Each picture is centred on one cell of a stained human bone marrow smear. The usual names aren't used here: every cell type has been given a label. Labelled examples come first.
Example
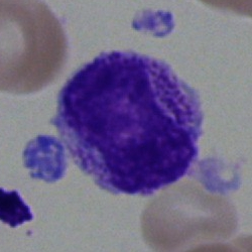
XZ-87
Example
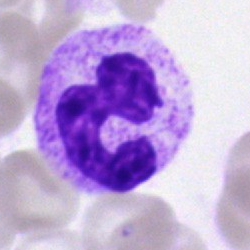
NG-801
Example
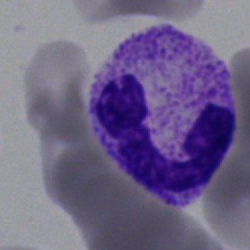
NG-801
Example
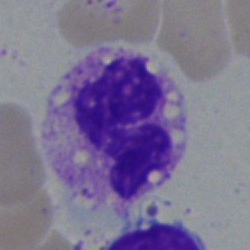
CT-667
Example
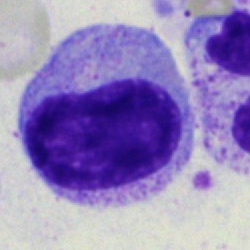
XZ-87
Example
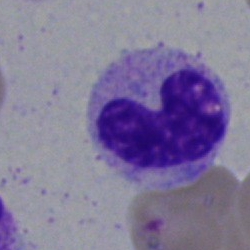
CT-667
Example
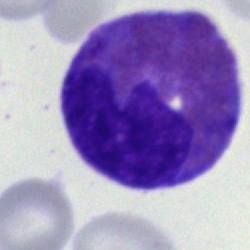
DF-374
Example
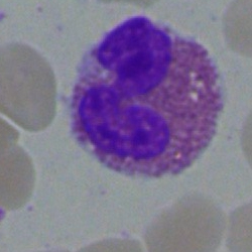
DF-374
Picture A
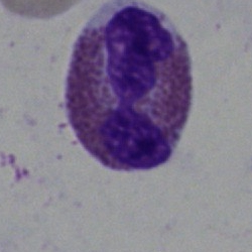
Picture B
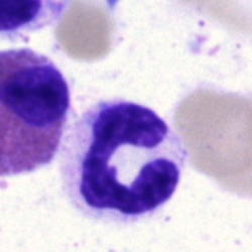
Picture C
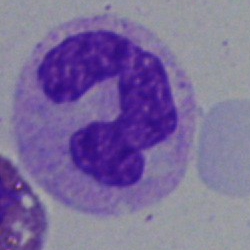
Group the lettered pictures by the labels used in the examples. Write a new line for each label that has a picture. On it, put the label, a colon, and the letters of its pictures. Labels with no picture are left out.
NG-801: B
CT-667: C
DF-374: A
